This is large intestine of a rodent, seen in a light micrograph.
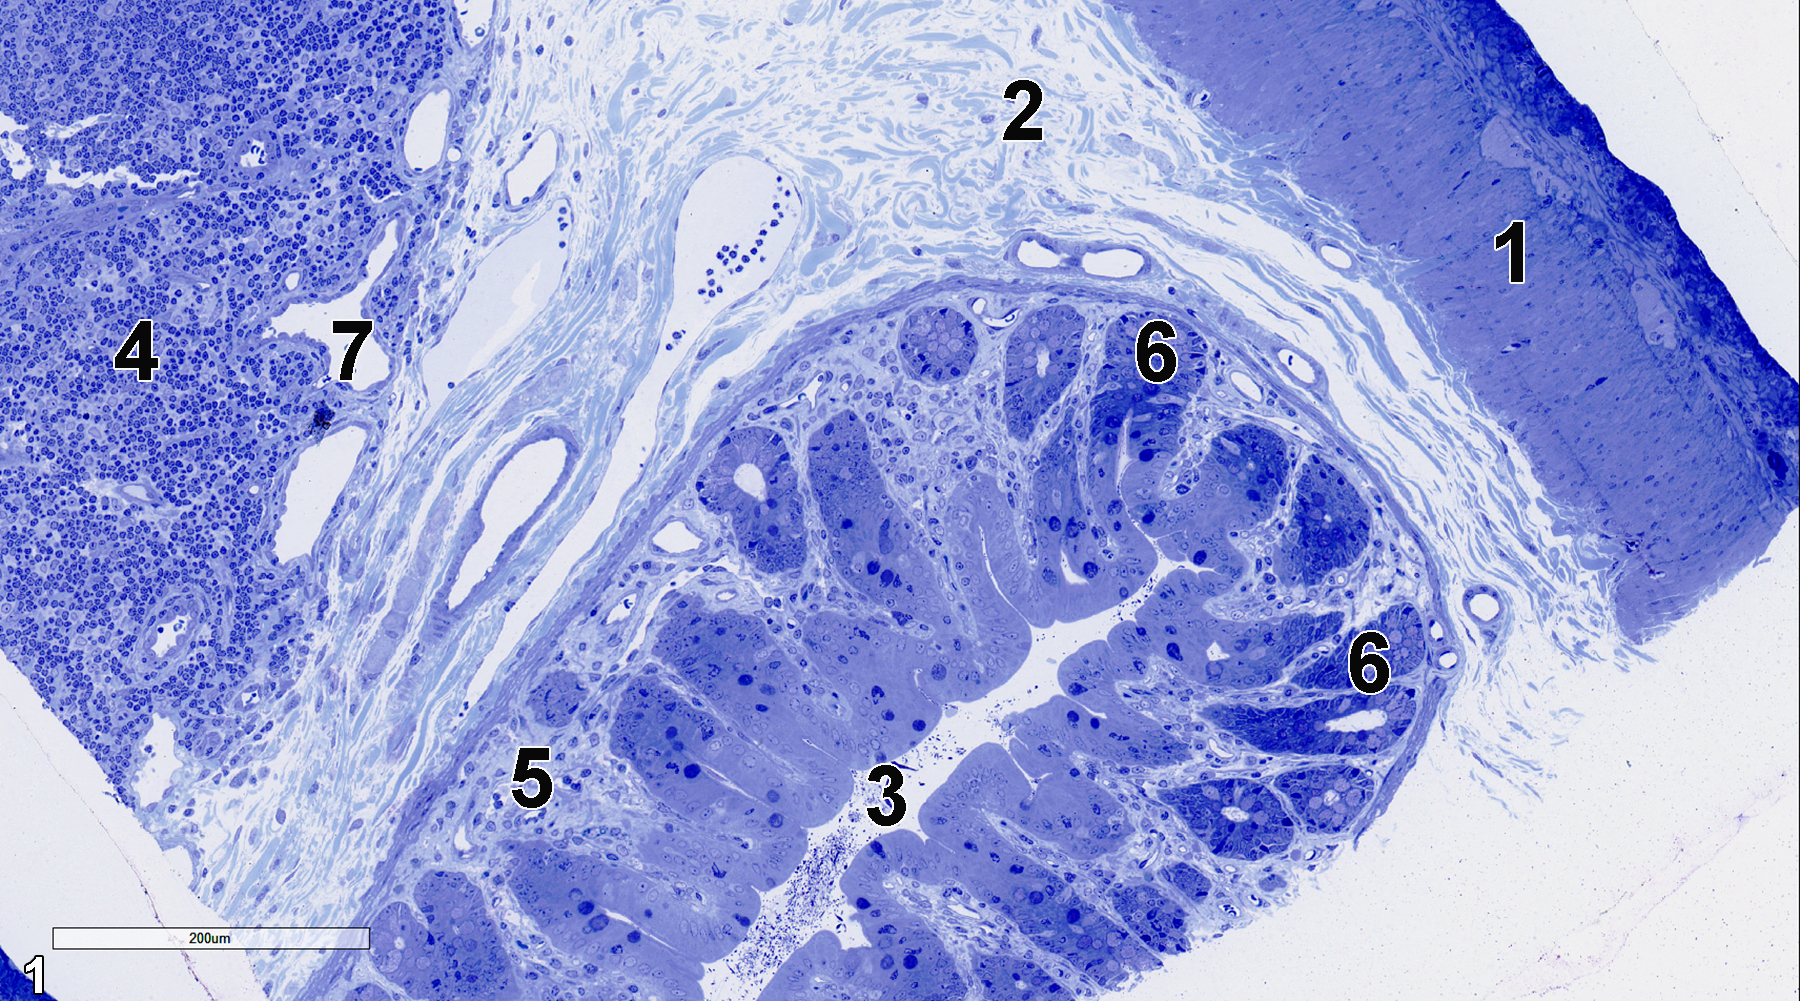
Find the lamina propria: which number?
Number 5.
